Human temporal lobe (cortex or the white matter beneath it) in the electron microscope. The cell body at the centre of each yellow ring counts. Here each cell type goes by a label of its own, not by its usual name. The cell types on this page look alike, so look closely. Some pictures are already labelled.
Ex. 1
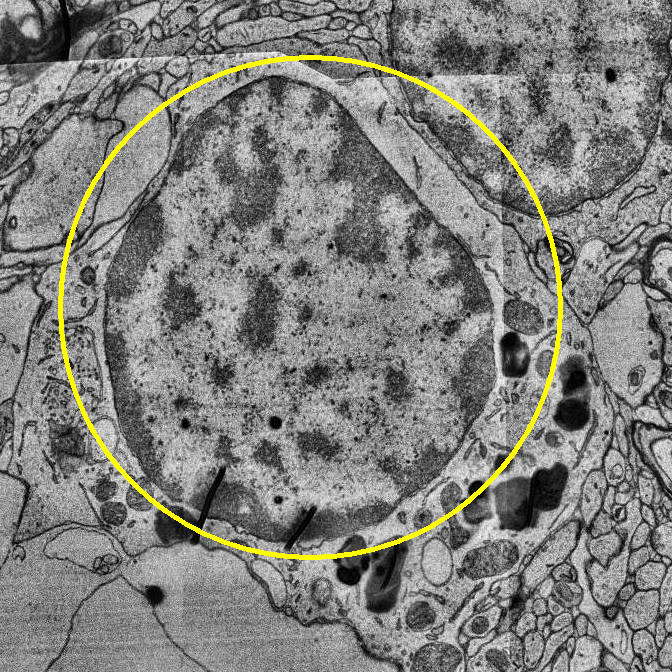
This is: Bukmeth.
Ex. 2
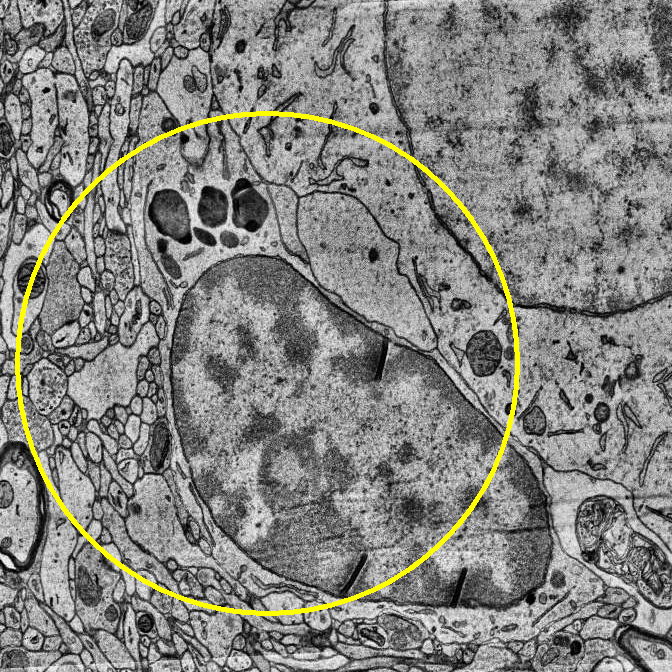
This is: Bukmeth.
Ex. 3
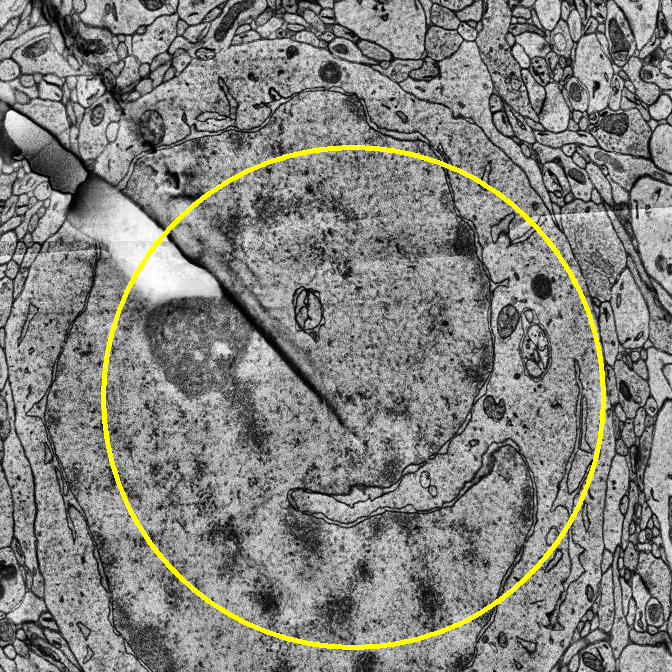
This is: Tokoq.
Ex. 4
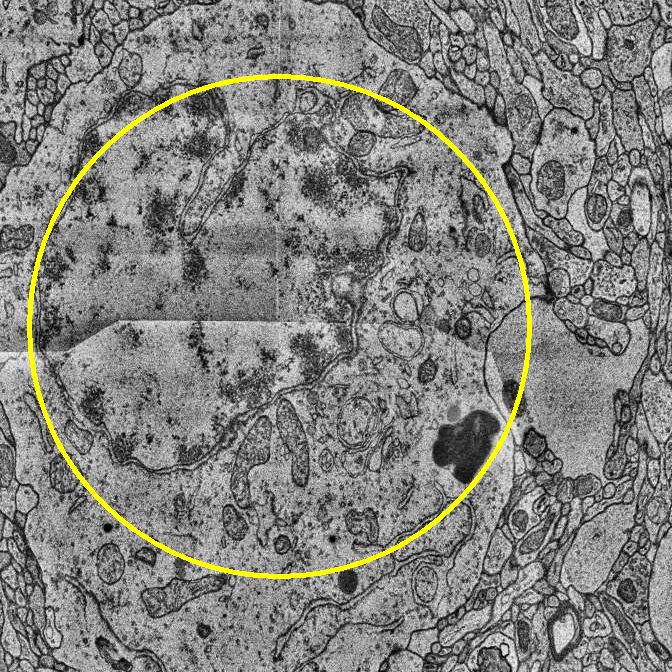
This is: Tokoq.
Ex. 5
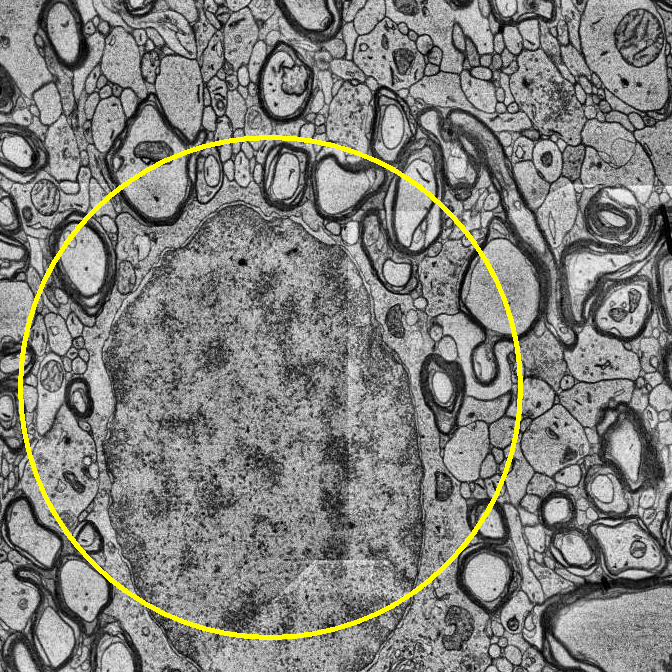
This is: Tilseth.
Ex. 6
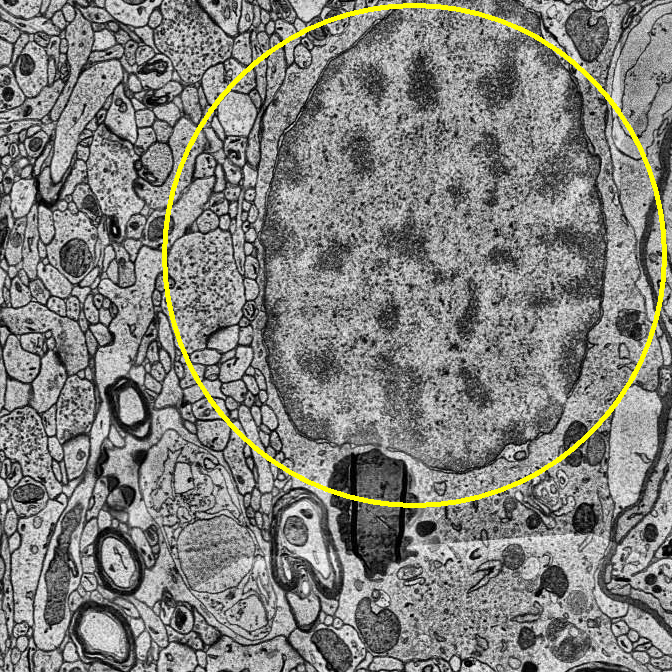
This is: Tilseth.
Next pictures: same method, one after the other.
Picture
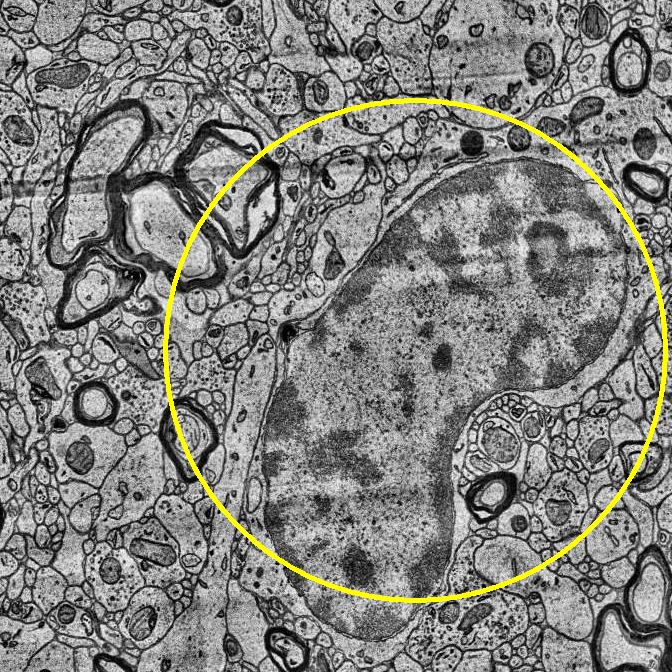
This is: Bukmeth.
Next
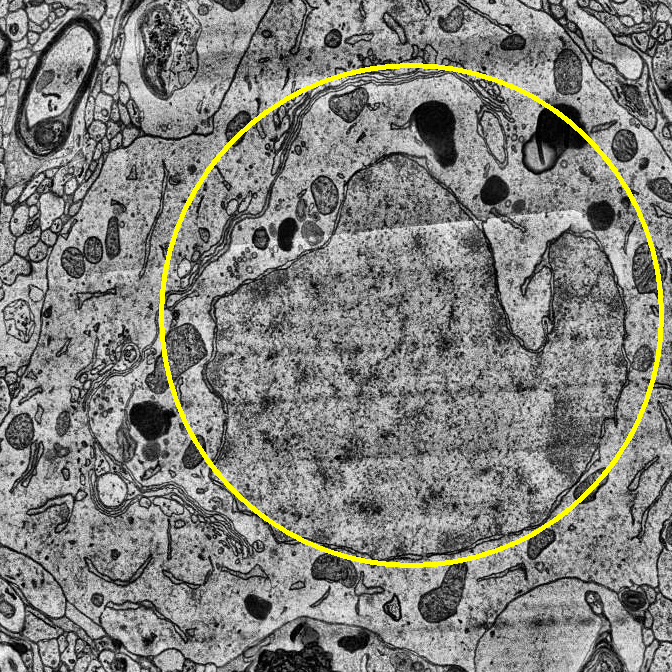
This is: Tokoq.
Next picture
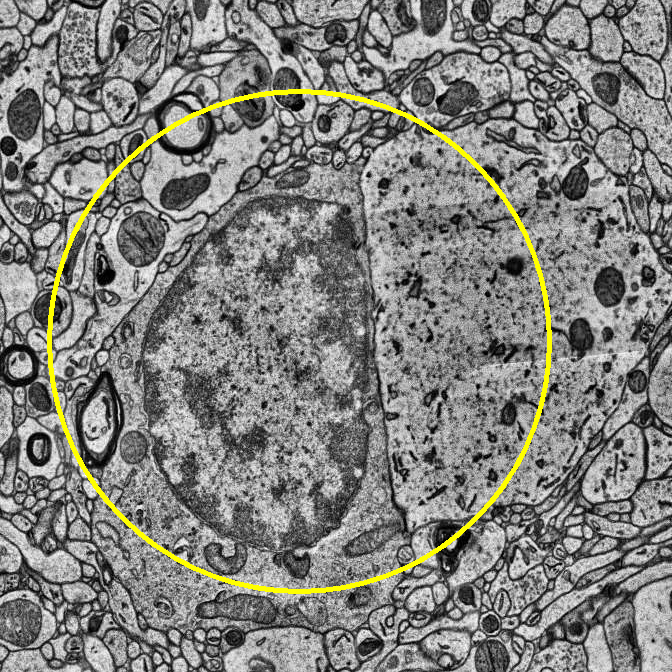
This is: Tilseth.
